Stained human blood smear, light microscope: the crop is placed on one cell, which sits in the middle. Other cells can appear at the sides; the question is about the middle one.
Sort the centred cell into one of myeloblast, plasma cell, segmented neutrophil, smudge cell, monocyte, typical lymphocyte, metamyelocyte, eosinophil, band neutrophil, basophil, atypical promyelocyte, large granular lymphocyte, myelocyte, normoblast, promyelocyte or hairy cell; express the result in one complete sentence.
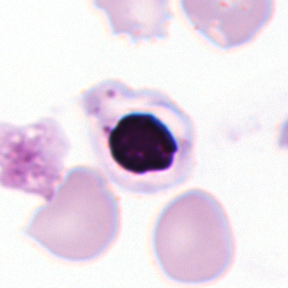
Positioned in the middle of the crop is a normoblast.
